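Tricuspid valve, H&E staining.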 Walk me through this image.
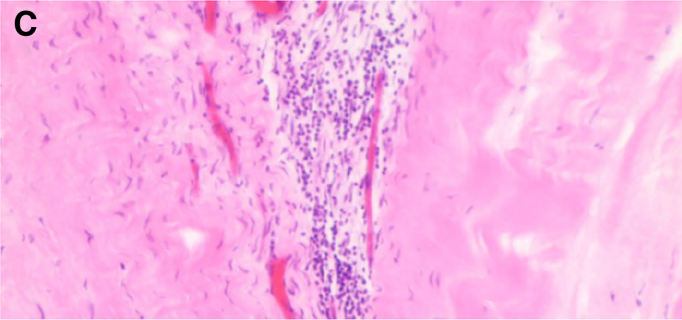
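A vertical band of densely packed small round cells with dark purple nuclei and very little cytoplasm runs down the middle of pale pink fibrous tissue. These are infiltrating lymphocytes. The band lies in looser tissue beside thin-walled vessels filled with bright red blood. On either side, the tissue is dense, pale pink and collagen-rich, with only a few thin, wavy, elongated nuclei of fibroblasts. The round cells are confined mostly to this strip and are scattered only sparsely into the fibrous tissue on either side.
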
